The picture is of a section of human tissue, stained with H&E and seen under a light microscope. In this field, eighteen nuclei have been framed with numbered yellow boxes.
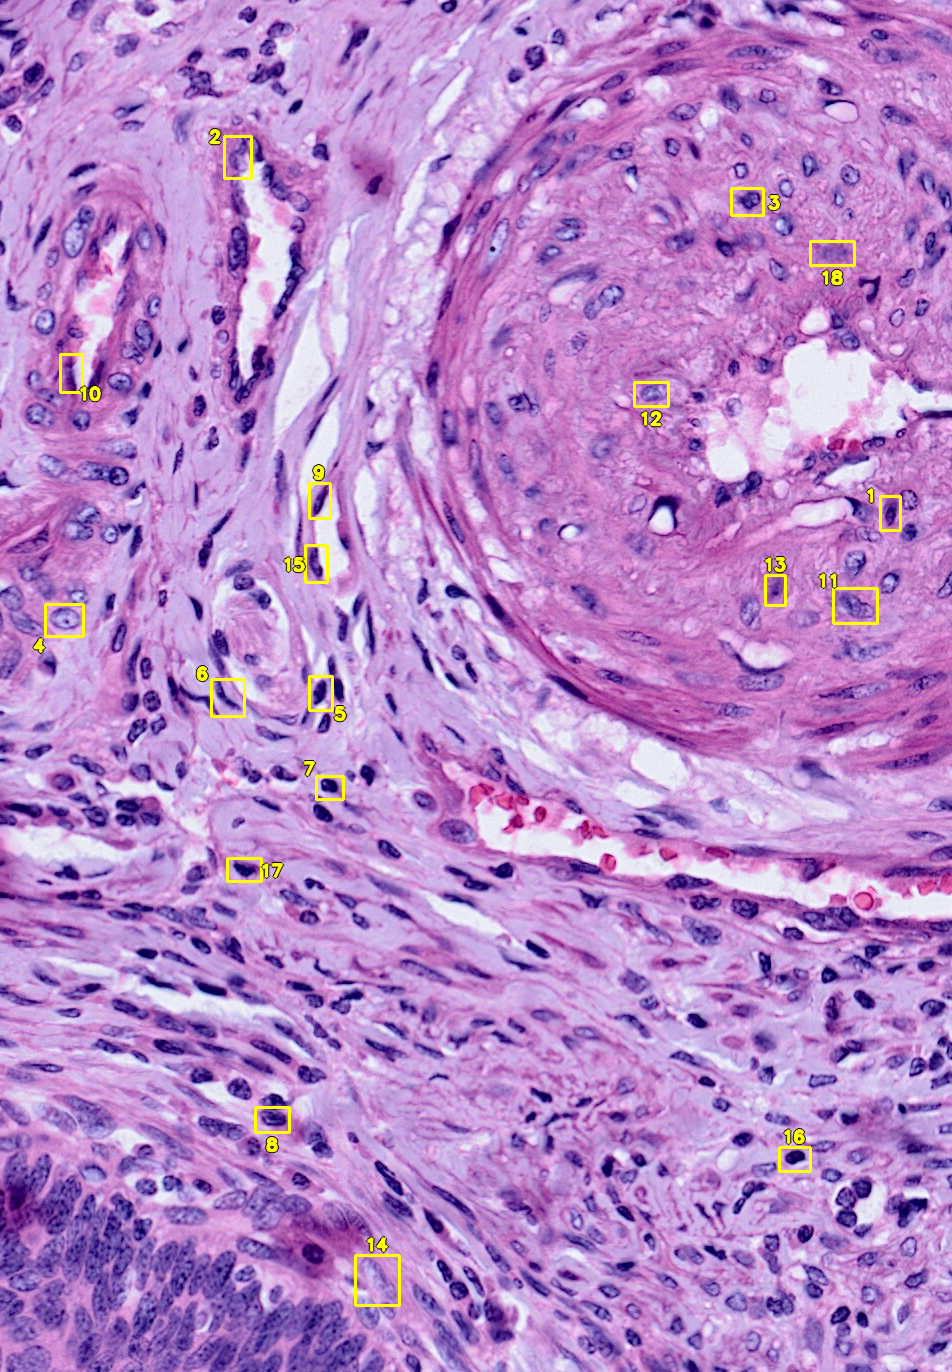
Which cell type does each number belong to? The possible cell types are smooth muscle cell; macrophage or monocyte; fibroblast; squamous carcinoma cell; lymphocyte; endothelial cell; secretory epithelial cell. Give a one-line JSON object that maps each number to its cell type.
{"1": "smooth muscle cell", "2": "endothelial cell", "3": "smooth muscle cell", "4": "smooth muscle cell", "5": "lymphocyte", "6": "fibroblast", "7": "lymphocyte", "8": "lymphocyte", "9": "endothelial cell", "10": "endothelial cell", "11": "smooth muscle cell", "12": "smooth muscle cell", "13": "smooth muscle cell", "14": "endothelial cell", "15": "endothelial cell", "16": "lymphocyte", "17": "lymphocyte", "18": "smooth muscle cell"}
